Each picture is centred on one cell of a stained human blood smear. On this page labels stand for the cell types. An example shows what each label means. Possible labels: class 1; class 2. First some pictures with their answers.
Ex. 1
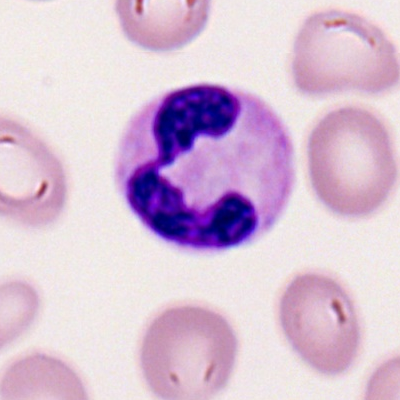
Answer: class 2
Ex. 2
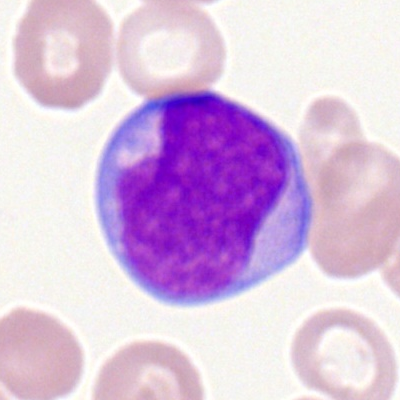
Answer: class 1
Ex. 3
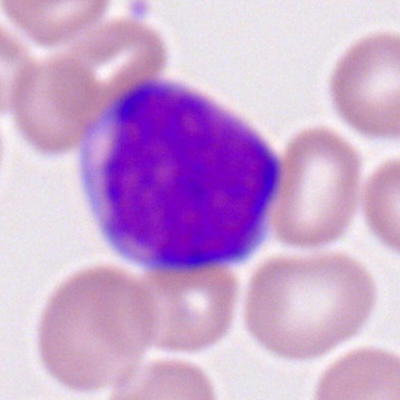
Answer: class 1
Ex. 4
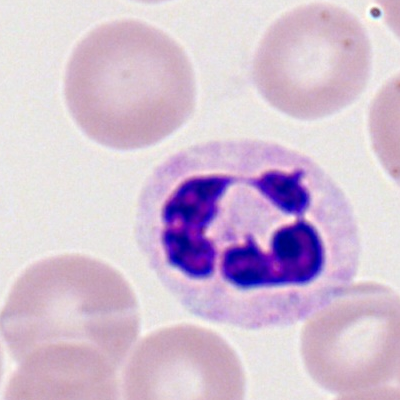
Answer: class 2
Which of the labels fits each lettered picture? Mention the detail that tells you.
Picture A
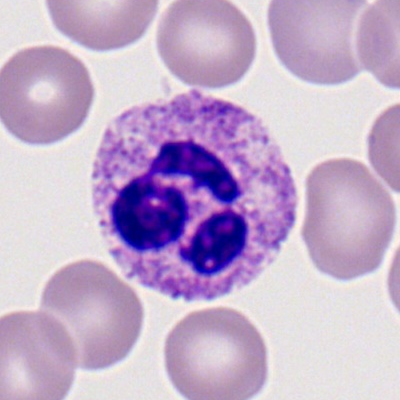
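class 2. Reason: The cytoplasm is abundant and fills much of the cell around the lobes.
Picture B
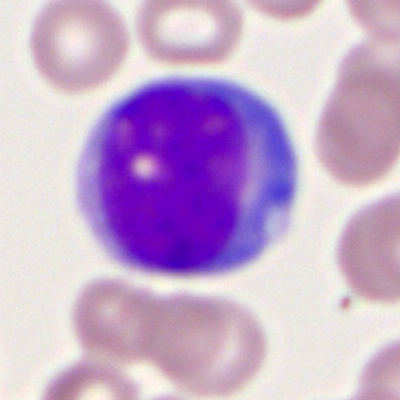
class 1. Reason: The nucleus fills most of the cell.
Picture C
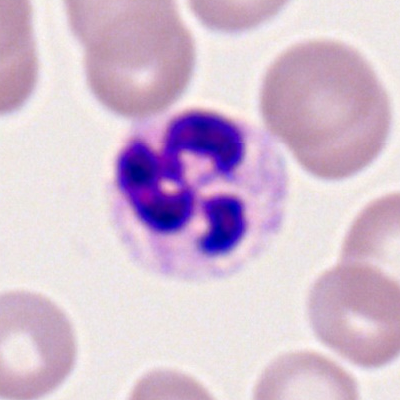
class 2. Reason: The cytoplasm is plentiful and pale pinkish-lilac.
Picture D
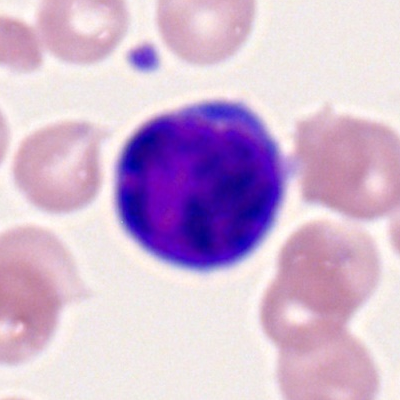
class 1. Reason: The nucleus fills almost the whole cell, leaving very little cytoplasm.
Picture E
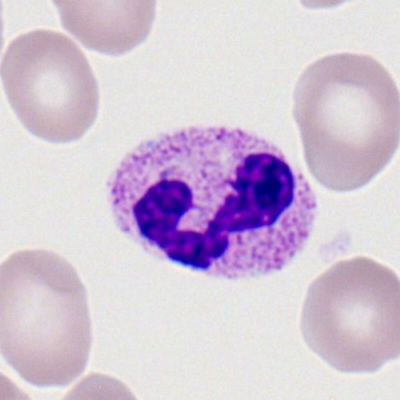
class 2. Reason: The cytoplasm is plentiful and pale pink-lilac.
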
